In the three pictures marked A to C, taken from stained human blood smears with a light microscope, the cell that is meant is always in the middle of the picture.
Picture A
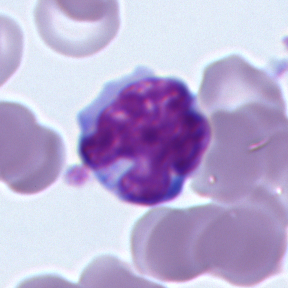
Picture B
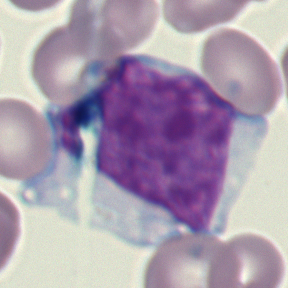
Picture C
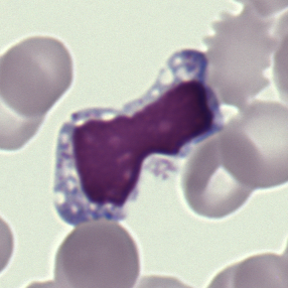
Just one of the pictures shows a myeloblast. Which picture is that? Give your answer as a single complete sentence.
Picture B shows the myeloblast.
